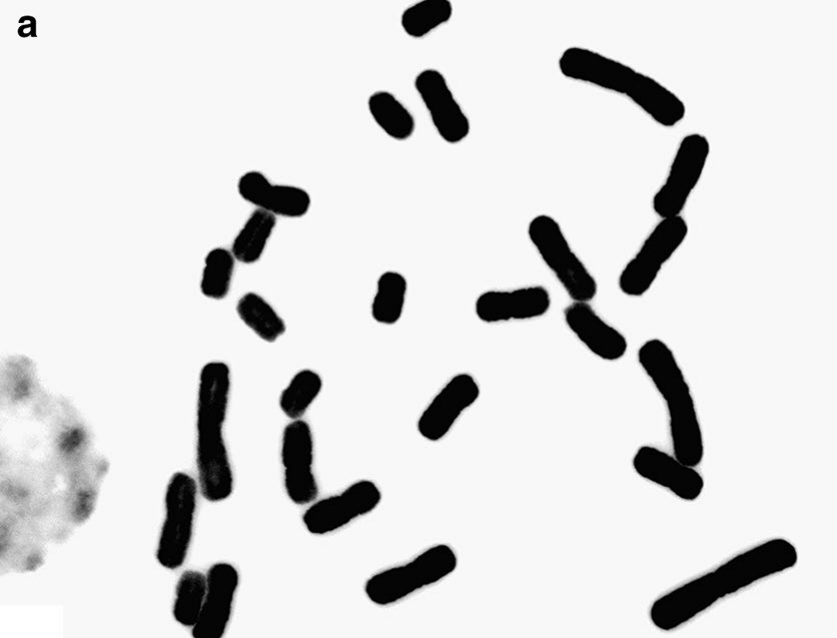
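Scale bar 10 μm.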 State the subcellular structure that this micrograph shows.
Mitotic chromosome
